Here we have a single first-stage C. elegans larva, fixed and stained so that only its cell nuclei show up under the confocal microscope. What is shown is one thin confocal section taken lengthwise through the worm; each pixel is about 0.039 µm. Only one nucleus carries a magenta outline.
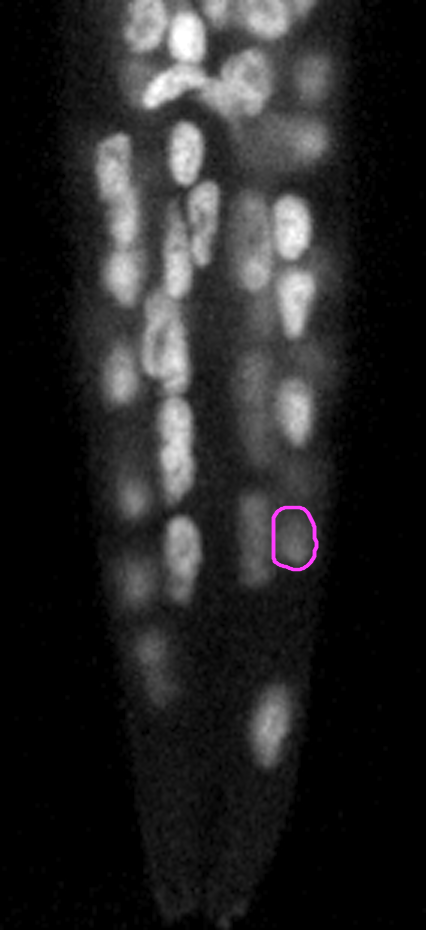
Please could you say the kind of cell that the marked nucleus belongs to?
hypodermal cell (hyp)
